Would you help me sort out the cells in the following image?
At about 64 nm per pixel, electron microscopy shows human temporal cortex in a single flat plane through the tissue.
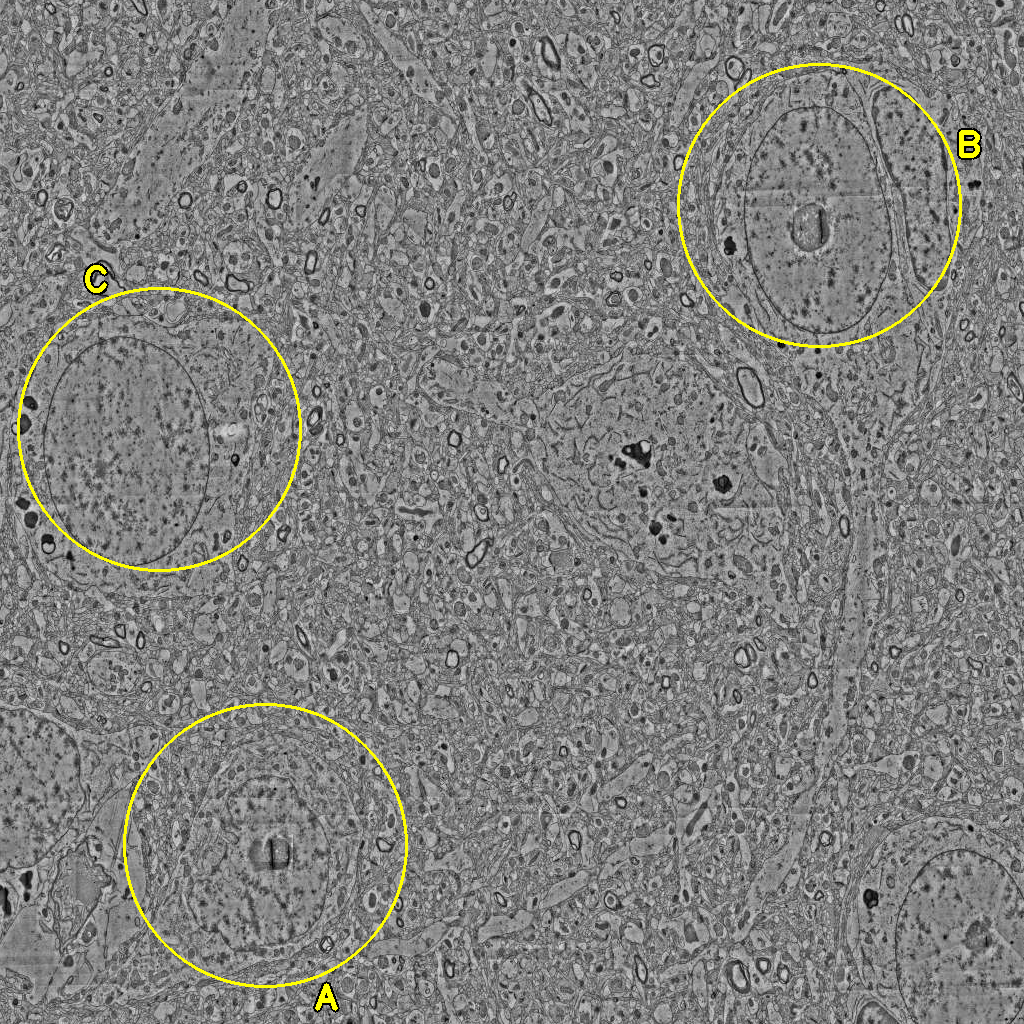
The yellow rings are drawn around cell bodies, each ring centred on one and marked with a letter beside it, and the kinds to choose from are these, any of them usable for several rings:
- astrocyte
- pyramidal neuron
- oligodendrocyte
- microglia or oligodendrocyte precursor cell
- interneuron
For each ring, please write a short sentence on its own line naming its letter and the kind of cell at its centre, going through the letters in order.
Ring A is centred on the cell body of an interneuron.
Ring B is centred on the cell body of a pyramidal neuron.
Ring C is centred on the cell body of a pyramidal neuron.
